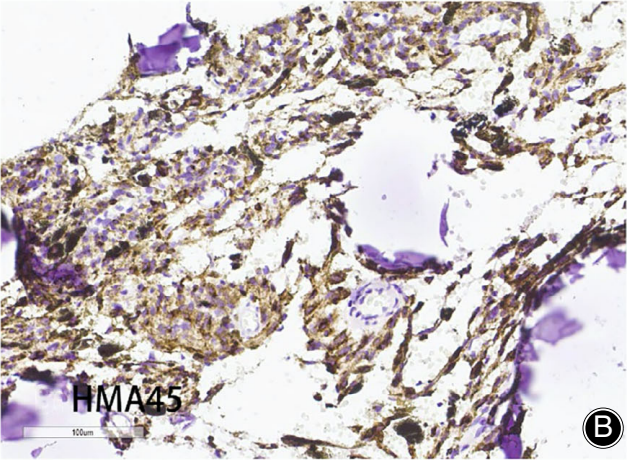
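Sheets and fascicles of elongated to oval tumor cells show diffuse brown staining of their cytoplasm, with blue nuclei visible among them and scattered darker pigment clumps. The cells run in streaming bundles around clear spaces and a small vessel. This is a cellular tumor with its cells broadly stained brown.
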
